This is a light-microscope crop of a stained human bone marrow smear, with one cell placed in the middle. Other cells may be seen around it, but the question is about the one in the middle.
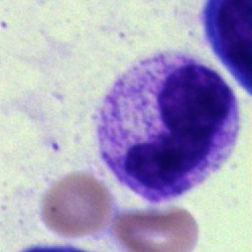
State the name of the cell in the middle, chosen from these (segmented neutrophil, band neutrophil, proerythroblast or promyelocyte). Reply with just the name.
band neutrophil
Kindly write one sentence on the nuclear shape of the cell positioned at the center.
The nucleus amounts to one compact mass with a round, oval or kidney-shaped outline.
